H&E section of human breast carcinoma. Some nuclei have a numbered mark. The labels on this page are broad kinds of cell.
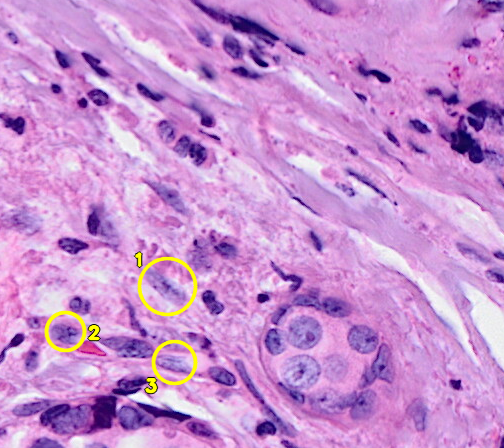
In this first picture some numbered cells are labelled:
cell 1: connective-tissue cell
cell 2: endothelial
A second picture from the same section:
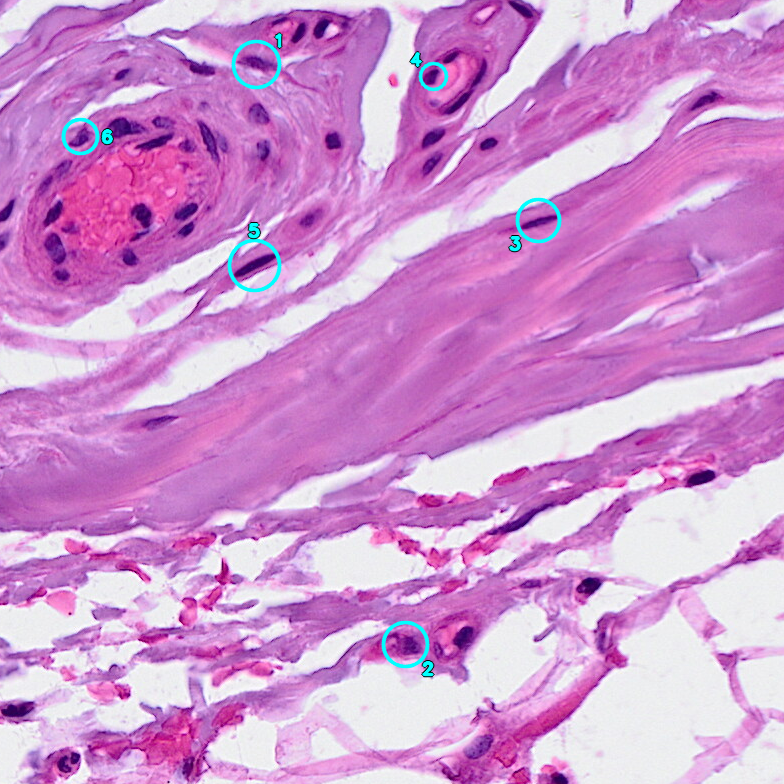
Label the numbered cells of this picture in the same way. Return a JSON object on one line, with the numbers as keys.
{"1": "connective-tissue cell", "2": "endothelial", "3": "connective-tissue cell", "4": "endothelial", "5": "connective-tissue cell", "6": "connective-tissue cell"}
